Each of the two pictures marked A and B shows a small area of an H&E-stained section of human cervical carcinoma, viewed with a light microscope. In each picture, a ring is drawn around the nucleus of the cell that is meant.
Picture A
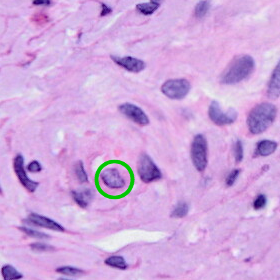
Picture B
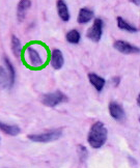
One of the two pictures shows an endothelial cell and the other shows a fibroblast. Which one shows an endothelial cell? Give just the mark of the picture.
A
